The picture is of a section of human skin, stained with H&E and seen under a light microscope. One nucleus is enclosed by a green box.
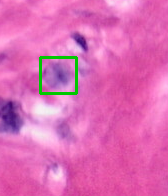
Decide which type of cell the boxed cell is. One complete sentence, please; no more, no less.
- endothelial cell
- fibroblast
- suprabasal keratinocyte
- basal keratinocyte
As for its identity, the boxed cell is an endothelial cell.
